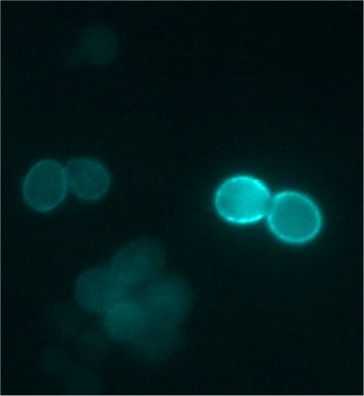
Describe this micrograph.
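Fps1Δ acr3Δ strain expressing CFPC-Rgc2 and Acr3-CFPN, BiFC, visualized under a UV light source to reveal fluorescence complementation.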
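Small round single cells, several of them in pairs with a bud attached, glow cyan against a dark background. In the brightest pair the cyan signal is strongest as a thin ring at the rim of each cell, outlining the cell boundary. The interior of these cells is dimmer than the rim. Other cells in the field, including a cluster at lower left, are only faintly and diffusely cyan and out of focus.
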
